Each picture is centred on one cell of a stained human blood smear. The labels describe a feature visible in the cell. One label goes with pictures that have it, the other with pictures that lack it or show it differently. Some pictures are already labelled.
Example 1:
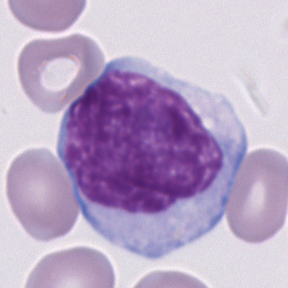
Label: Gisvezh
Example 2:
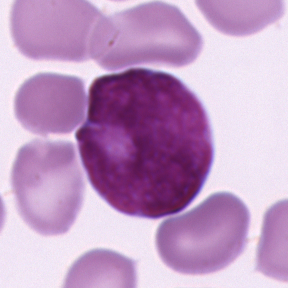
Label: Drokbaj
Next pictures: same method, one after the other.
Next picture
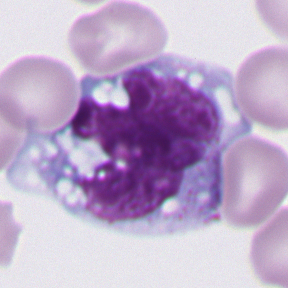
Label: Gisvezh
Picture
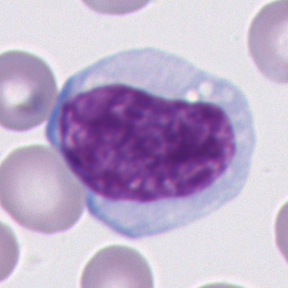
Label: Gisvezh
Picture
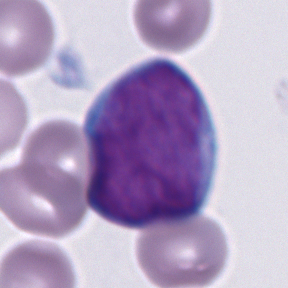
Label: Drokbaj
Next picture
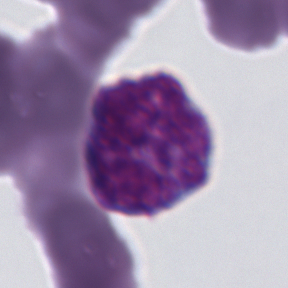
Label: Drokbaj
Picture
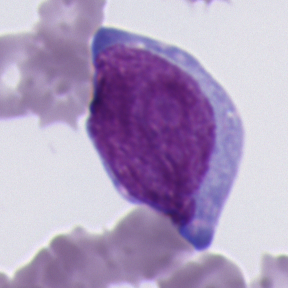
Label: Drokbaj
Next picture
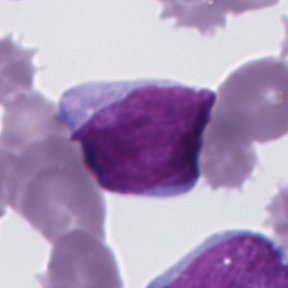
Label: Drokbaj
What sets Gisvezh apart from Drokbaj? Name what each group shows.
In Gisvezh: vacuoles present. In Drokbaj: no vacuoles.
